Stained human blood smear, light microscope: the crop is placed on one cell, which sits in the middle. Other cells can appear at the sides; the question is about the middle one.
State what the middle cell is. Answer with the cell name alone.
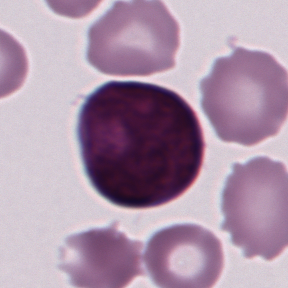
blast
